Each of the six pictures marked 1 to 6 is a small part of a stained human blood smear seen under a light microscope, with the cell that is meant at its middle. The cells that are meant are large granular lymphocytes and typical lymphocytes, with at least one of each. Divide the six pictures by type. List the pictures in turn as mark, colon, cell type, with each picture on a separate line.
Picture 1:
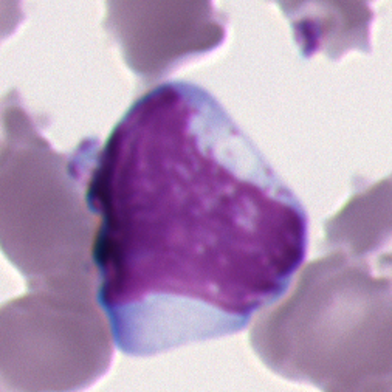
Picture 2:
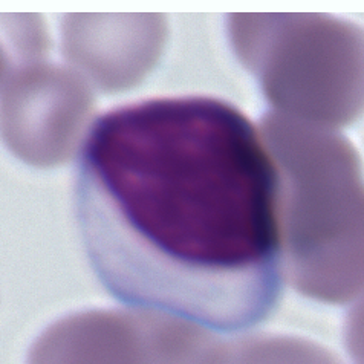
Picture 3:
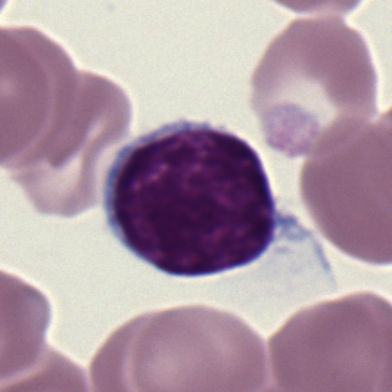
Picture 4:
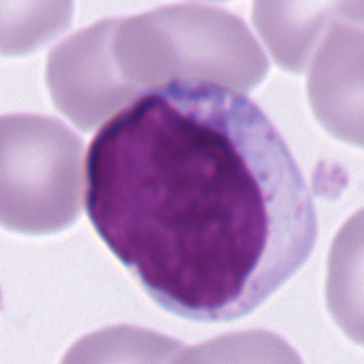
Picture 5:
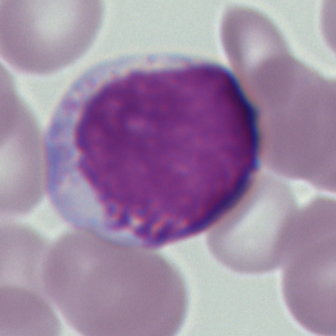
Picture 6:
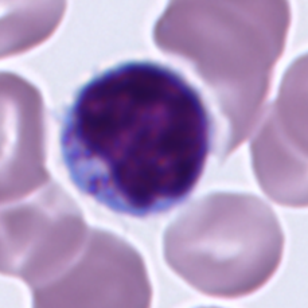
1: large granular lymphocyte
2: large granular lymphocyte
3: typical lymphocyte
4: large granular lymphocyte
5: large granular lymphocyte
6: typical lymphocyte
